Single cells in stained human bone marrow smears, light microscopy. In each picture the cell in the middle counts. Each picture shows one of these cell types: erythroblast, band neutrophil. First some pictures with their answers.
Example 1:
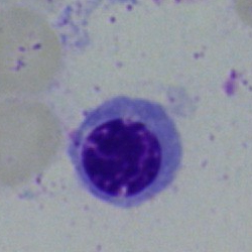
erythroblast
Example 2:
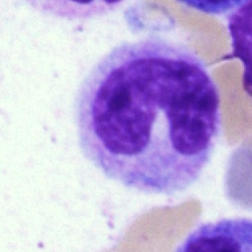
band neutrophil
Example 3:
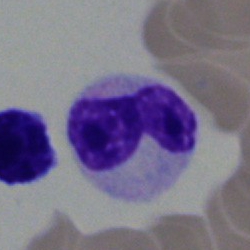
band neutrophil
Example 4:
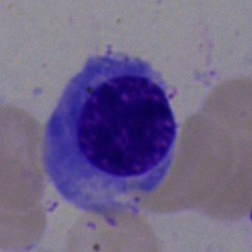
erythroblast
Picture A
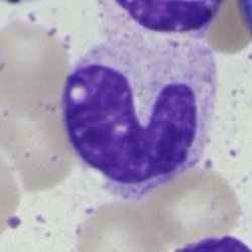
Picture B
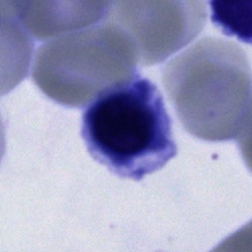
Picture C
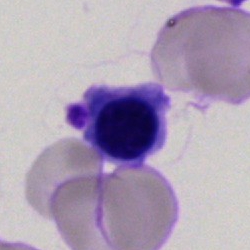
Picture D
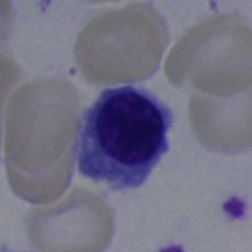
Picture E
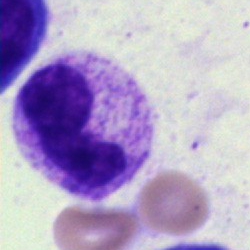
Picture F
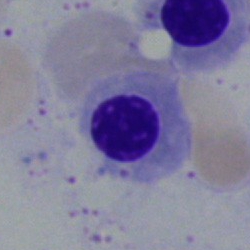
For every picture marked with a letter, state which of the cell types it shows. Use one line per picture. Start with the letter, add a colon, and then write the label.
A: band neutrophil
B: erythroblast
C: erythroblast
D: erythroblast
E: band neutrophil
F: erythroblast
